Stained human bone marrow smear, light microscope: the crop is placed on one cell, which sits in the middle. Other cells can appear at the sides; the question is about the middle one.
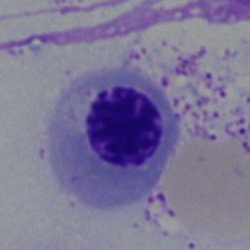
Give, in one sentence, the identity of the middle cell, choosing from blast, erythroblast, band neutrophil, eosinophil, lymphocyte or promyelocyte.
In the centre of this crop there is an erythroblast.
